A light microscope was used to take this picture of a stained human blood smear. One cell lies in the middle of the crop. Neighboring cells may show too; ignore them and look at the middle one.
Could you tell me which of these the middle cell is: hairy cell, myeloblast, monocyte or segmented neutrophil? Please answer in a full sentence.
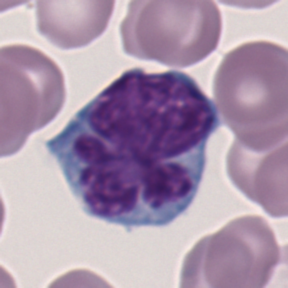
Classified as a myeloblast is the cell in the middle of this crop.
